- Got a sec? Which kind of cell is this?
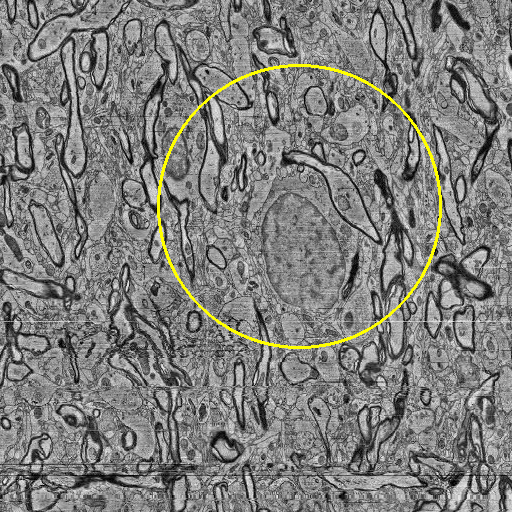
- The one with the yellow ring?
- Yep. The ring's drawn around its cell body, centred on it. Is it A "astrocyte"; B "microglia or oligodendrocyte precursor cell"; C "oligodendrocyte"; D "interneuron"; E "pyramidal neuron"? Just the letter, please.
C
